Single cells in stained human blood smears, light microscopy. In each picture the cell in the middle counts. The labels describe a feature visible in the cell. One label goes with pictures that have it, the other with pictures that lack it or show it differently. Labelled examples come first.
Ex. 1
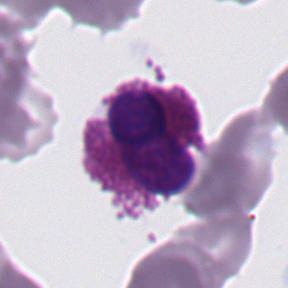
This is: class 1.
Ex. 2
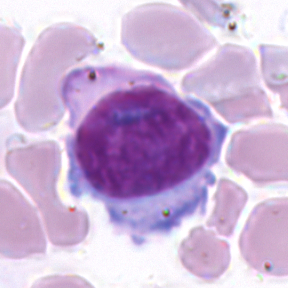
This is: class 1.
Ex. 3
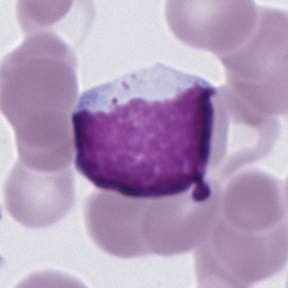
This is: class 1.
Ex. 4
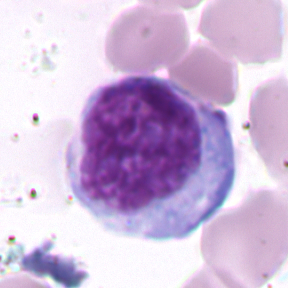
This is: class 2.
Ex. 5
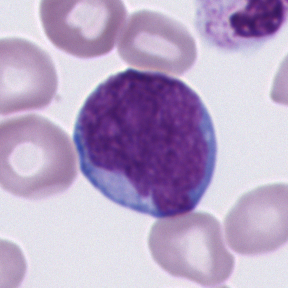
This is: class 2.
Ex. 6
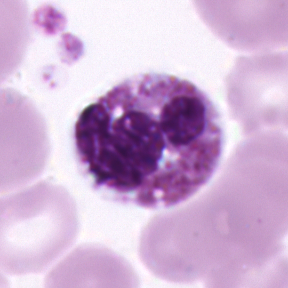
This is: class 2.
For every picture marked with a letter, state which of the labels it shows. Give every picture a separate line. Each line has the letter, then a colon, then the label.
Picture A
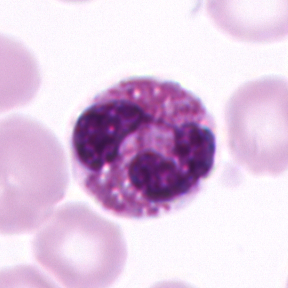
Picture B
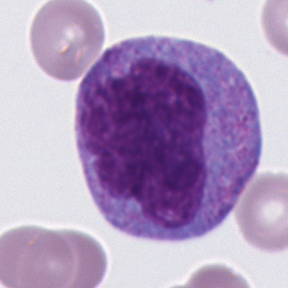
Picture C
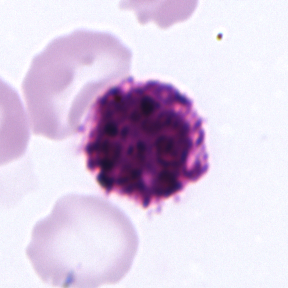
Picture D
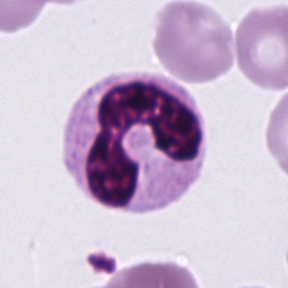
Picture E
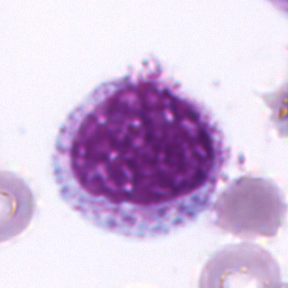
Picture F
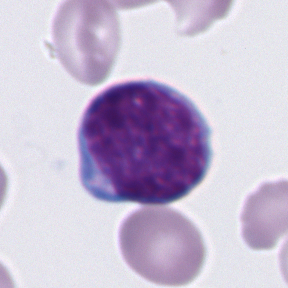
A: class 2.
B: class 2.
C: class 1.
D: class 2.
E: class 1.
F: class 2.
